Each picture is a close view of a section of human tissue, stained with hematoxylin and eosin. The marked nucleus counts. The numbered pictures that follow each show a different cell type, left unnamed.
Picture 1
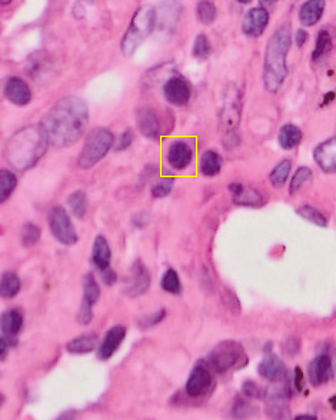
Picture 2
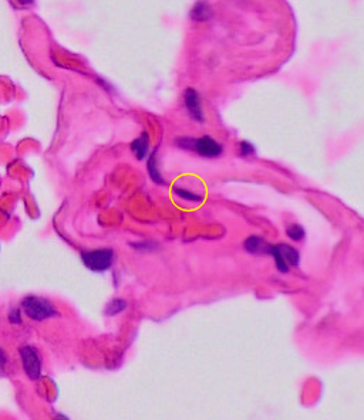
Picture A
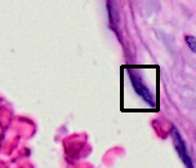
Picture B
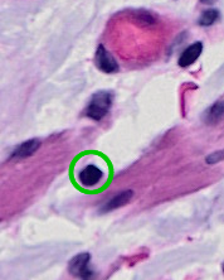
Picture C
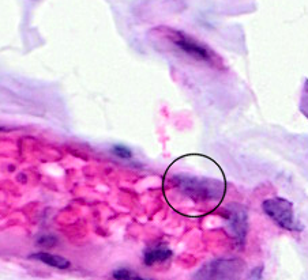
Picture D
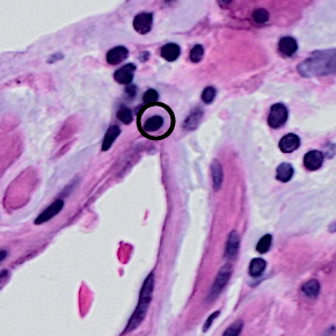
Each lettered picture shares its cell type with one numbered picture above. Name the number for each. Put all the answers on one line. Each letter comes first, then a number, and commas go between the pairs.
A 2, B 1, C 2, D 1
